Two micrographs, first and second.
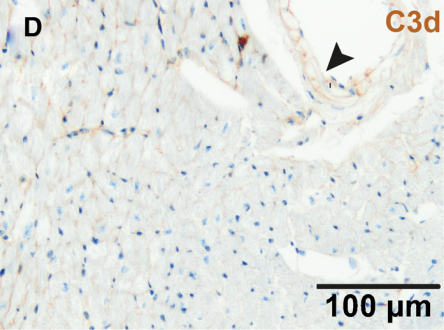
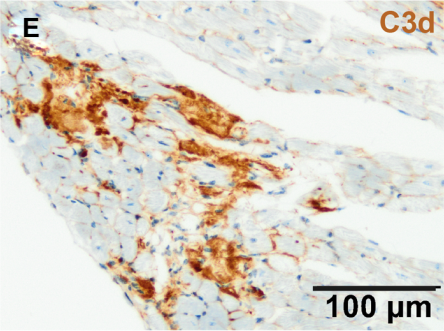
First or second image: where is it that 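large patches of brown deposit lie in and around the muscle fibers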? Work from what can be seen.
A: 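Second image: heavy confluent brown clumps among the muscle fibers. First image: only faint thin brown lines between muscle fibers, with a small dark spot.
Hence: the second image.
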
